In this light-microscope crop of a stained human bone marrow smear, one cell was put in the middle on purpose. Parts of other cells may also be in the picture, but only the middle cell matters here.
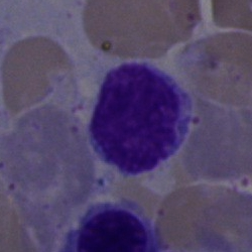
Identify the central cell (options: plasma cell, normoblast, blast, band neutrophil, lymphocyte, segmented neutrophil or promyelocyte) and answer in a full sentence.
Looking at the middle of the crop, the cell there is a lymphocyte.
